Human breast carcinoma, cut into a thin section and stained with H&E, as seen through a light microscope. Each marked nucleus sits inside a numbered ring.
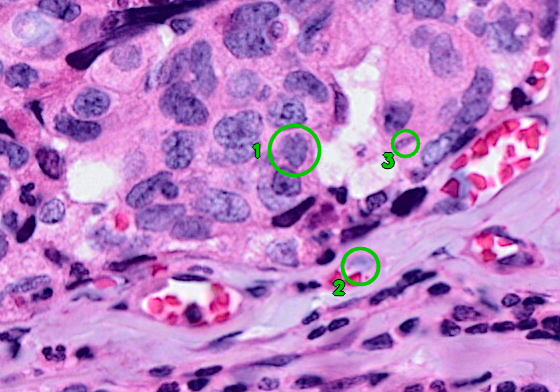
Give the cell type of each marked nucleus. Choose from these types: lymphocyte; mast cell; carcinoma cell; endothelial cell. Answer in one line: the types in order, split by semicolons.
carcinoma cell; endothelial cell; carcinoma cell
